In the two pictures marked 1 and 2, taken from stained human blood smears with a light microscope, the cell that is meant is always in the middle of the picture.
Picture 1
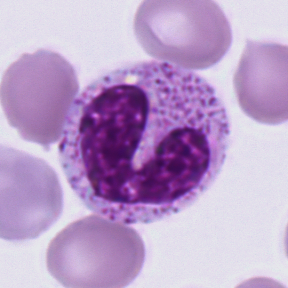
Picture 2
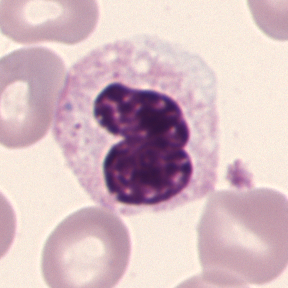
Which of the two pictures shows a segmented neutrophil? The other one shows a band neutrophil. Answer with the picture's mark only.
2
